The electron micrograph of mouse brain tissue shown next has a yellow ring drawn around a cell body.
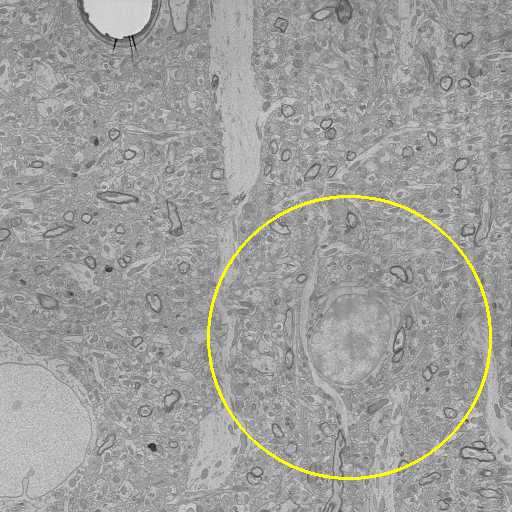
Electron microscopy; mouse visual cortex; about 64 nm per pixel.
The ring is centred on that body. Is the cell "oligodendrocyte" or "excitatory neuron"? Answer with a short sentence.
The cell in question is an oligodendrocyte.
